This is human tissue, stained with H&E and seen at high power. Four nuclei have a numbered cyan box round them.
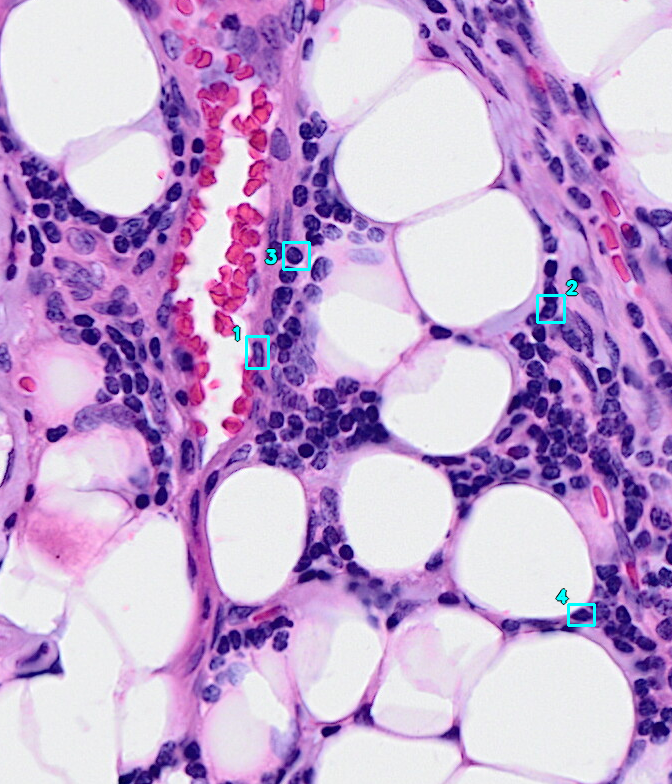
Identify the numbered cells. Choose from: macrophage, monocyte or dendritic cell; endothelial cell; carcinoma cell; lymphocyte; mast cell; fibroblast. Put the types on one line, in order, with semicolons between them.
endothelial cell; lymphocyte; lymphocyte; lymphocyte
